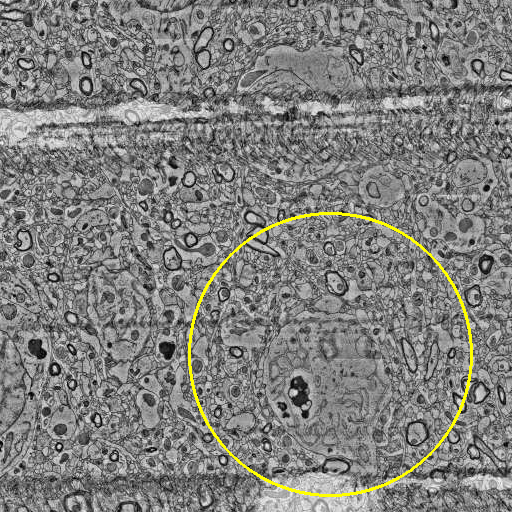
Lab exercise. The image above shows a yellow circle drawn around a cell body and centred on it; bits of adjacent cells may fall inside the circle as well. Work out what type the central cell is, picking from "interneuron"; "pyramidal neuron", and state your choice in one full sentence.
In the image above, the cell at the centre of the yellow circle is a pyramidal neuron.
